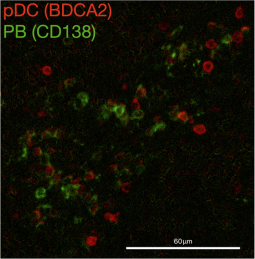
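The red cells are small and round, with the stain forming a crisp ring at the cell border and a dark, unstained centre. The two kinds lie intermingled, many red rings sitting directly against or touching green cells, while the background between them is dark and speckled.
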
